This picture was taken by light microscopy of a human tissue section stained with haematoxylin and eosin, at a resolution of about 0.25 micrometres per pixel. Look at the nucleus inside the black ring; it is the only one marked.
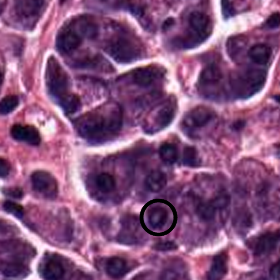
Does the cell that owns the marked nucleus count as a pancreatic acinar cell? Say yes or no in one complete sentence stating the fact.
Yes, a pancreatic acinar cell is the cell to which the marked nucleus belongs.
